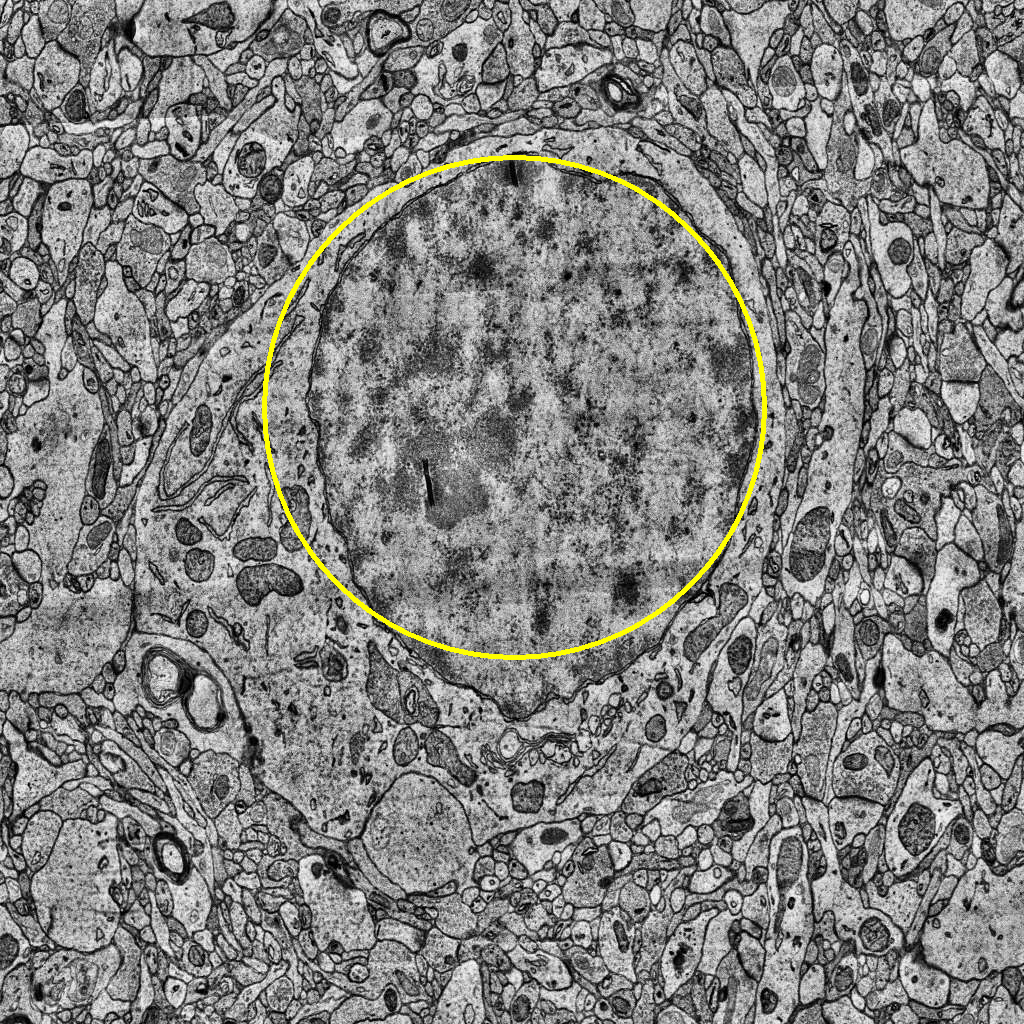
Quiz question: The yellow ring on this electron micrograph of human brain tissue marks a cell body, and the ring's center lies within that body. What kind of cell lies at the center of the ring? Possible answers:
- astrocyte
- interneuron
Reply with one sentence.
The ring's center lies on an interneuron.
